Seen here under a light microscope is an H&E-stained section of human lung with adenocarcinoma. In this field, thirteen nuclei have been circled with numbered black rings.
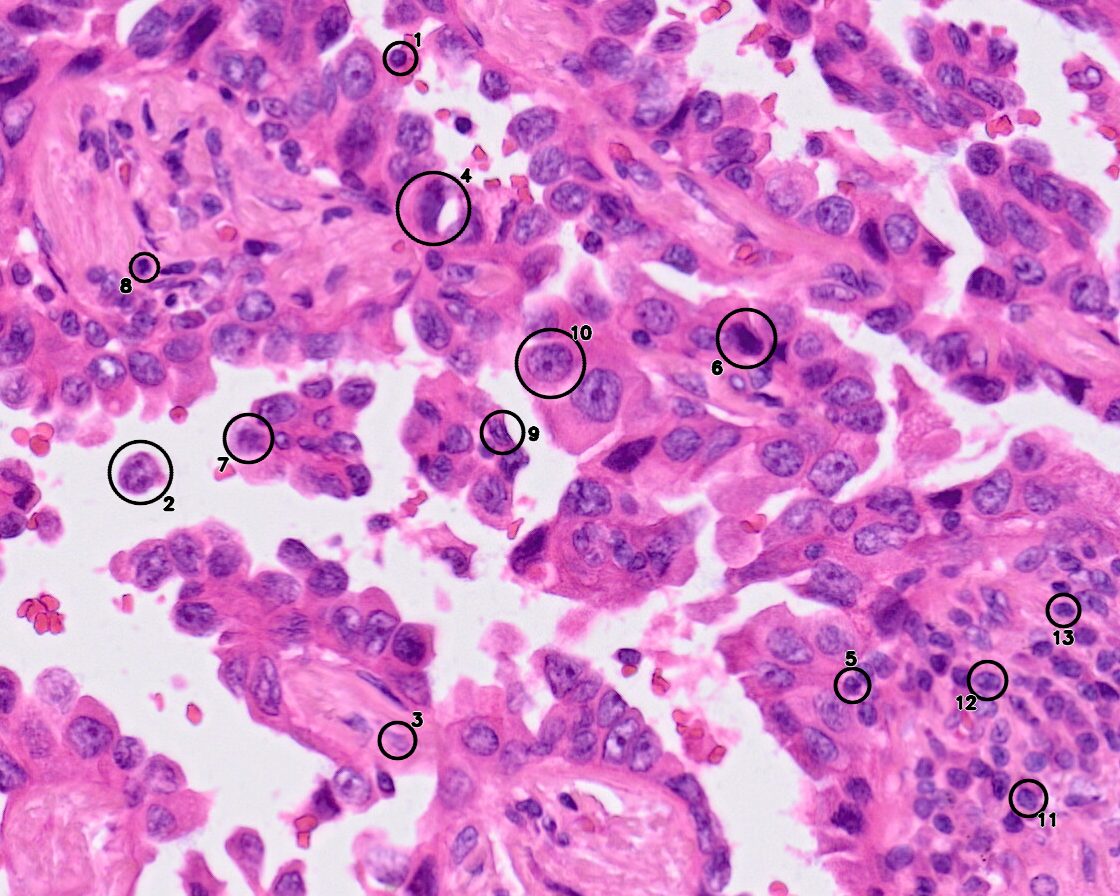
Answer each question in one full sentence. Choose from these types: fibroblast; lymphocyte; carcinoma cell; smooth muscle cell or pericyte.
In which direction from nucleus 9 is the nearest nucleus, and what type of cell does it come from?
Just below and to the left of nucleus 9 lies the nearest nucleus, which belongs to a lymphocyte.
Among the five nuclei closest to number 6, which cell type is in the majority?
Carcinoma cells make up most of the five nuclei closest to number 6.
